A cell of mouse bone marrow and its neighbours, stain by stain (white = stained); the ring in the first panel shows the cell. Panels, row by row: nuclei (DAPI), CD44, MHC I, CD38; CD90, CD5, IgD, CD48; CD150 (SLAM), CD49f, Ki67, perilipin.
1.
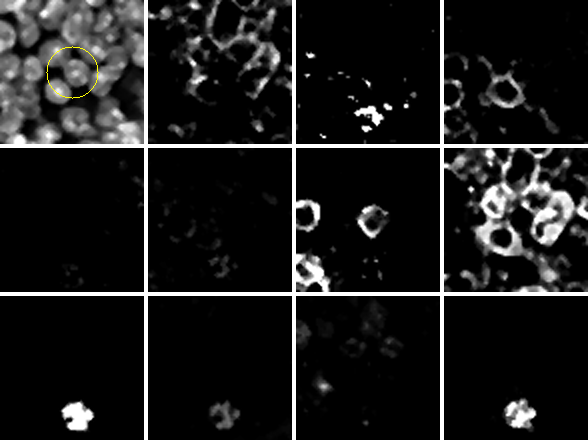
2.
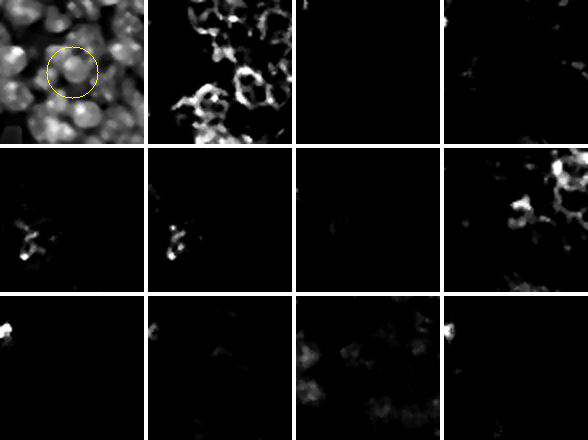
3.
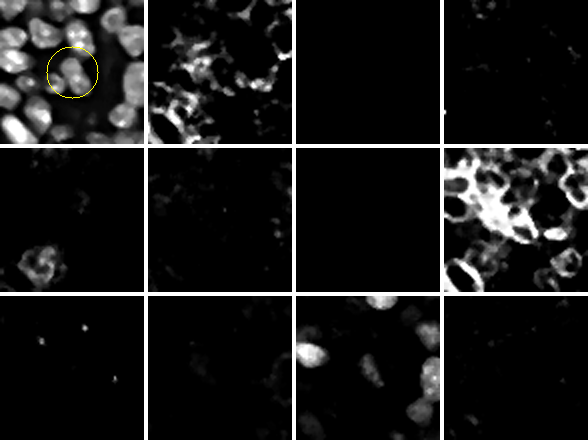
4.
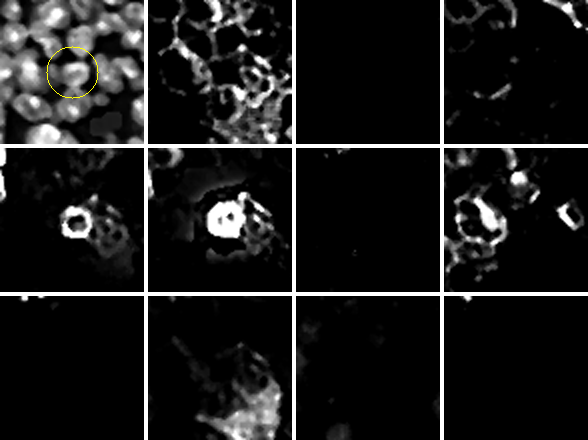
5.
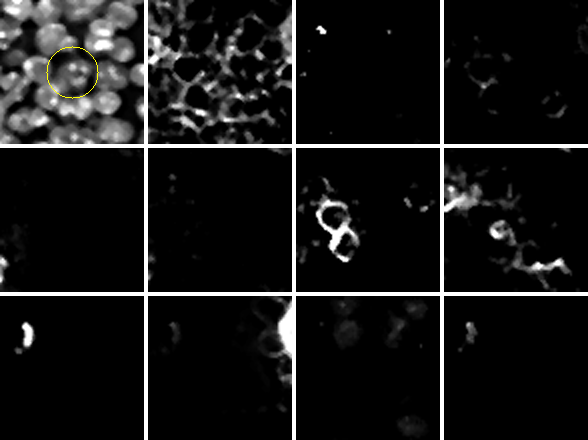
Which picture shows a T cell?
Picture 4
